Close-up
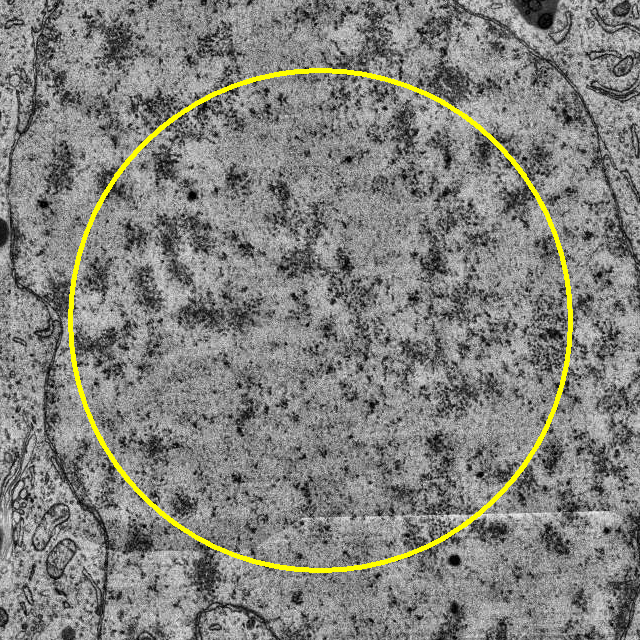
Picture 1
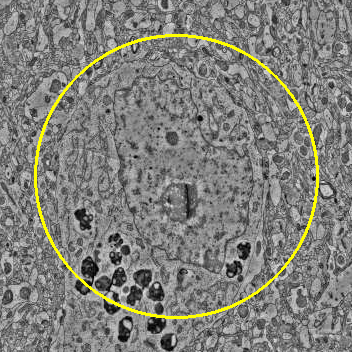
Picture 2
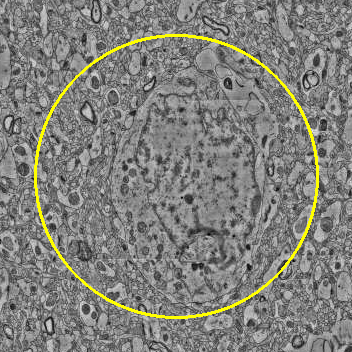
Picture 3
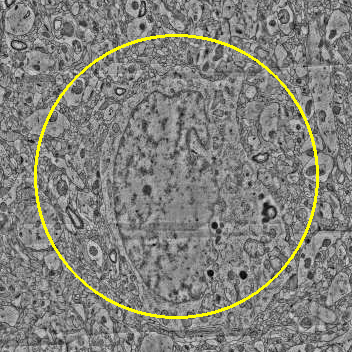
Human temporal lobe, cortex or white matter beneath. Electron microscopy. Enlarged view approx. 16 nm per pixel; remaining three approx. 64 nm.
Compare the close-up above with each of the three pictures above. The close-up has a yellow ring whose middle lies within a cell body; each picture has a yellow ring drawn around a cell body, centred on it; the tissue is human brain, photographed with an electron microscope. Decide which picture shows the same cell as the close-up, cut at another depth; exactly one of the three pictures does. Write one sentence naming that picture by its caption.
Among the marked cells, the one enlarged in the close-up sits in Picture 1.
